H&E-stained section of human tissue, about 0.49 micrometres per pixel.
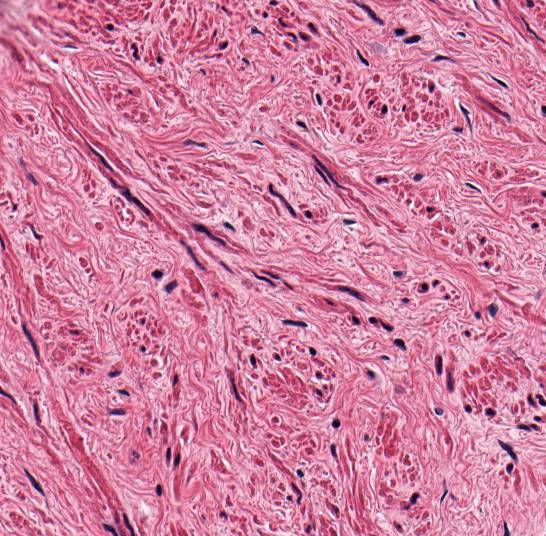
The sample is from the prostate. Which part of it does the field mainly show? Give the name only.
fibromuscular stroma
